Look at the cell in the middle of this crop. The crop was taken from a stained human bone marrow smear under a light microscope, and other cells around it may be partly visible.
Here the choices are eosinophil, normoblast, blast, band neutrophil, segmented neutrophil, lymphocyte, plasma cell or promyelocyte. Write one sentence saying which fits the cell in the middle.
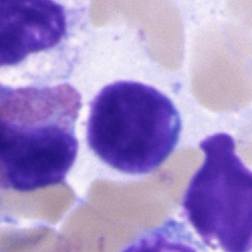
The cell nearest the centre of this crop is a lymphocyte.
